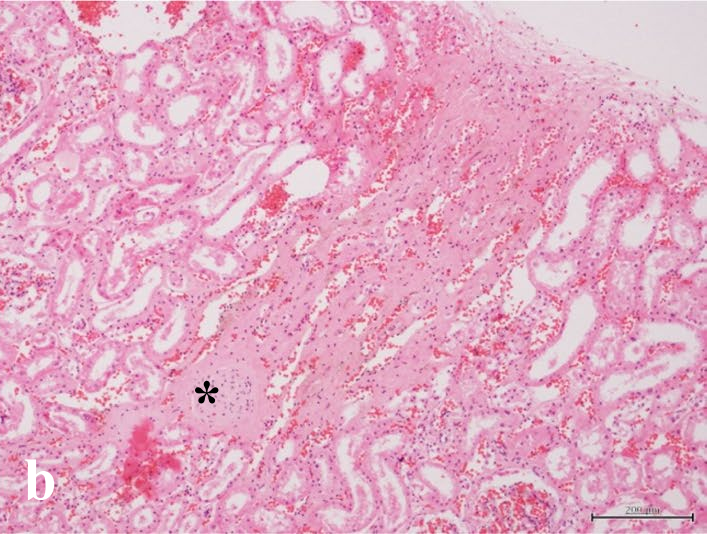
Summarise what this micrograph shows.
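Renal cortex with closely set tubules whose pale pink epithelium lines open lumens, separated by widened interstitium. Red blood cells are packed in vessels and spill between the tubules in several patches, and pink fibrous tissue widens the spaces between tubules.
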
